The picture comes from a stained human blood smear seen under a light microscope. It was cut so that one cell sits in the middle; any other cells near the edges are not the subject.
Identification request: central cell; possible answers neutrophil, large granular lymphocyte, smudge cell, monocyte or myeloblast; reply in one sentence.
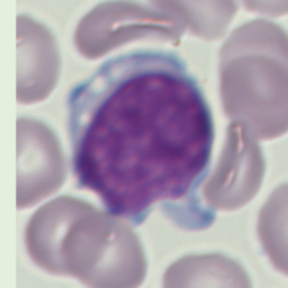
The cell nearest the centre of this crop is a myeloblast.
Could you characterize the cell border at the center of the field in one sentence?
The margin of this cell is irregular, showing raggedness or projections instead of smoothness.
